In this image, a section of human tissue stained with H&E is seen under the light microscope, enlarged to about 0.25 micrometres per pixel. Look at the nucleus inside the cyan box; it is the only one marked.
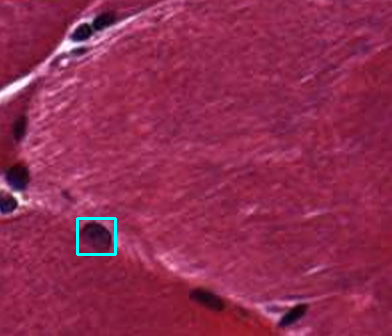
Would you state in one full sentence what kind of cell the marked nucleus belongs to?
The marked nucleus is found in a skeletal muscle fibre.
